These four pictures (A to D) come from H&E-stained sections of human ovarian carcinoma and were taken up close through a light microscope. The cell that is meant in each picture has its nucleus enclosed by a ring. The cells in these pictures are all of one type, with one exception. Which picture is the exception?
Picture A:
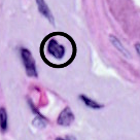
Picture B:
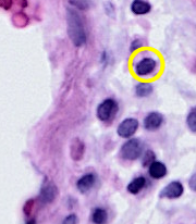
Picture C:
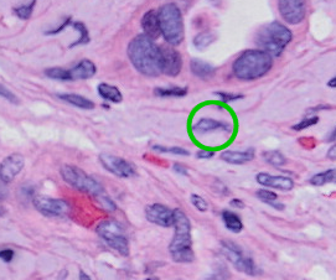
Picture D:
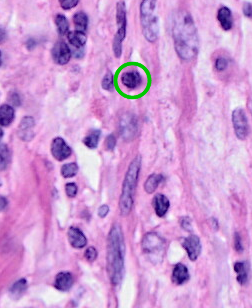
C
